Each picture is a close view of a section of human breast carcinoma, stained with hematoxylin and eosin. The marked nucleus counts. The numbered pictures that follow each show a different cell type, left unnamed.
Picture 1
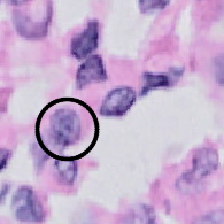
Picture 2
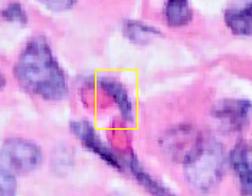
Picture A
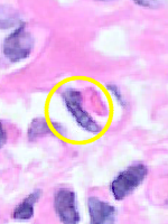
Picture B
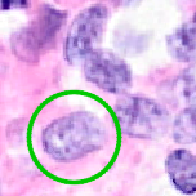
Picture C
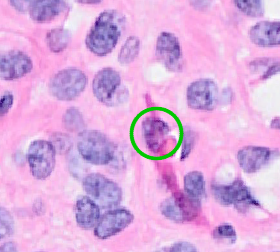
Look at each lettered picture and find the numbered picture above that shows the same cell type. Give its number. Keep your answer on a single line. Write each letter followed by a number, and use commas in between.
A 2, B 1, C 2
